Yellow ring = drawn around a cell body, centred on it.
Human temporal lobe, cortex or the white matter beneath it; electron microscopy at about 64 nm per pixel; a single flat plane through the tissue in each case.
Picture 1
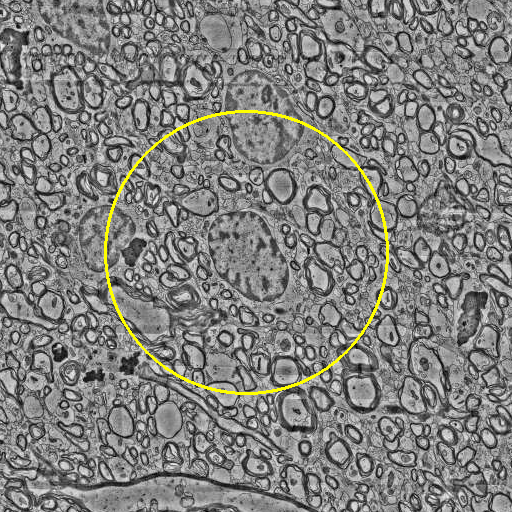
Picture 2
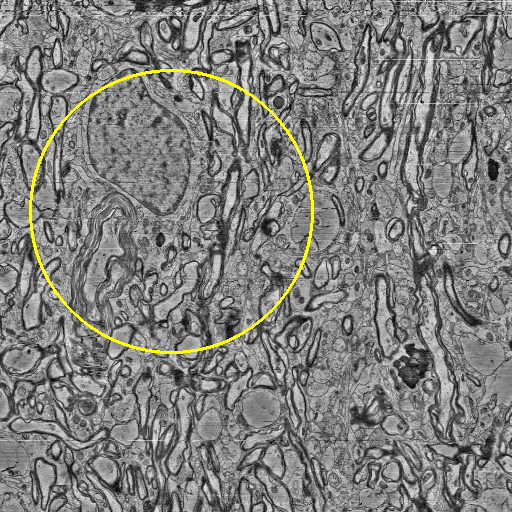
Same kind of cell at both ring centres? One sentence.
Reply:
Yes, they are the same kind of cell.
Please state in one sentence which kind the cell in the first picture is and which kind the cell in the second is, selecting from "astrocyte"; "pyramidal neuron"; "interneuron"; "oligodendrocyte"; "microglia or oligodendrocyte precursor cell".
The cell at the ring centre is a microglial cell or oligodendrocyte precursor cell in both pictures.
